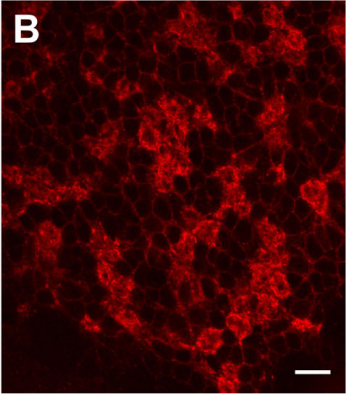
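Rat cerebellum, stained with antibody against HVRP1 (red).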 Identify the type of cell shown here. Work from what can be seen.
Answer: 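Densely packed small round cell bodies. Each cell is outlined by a thin rim, forming a honeycomb-like net.
Conclusion: granule neurons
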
